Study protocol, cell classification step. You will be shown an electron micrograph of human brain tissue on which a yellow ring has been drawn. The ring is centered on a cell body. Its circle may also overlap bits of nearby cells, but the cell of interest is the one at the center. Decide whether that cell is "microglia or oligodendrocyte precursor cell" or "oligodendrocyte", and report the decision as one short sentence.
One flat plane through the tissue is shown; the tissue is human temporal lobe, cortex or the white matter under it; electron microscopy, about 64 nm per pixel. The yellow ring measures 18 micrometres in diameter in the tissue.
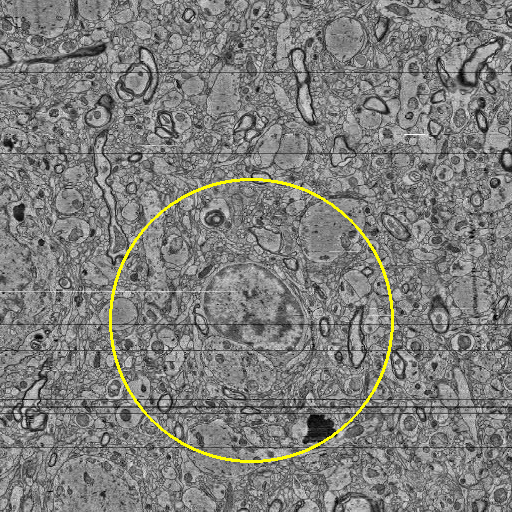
The marked cell is an oligodendrocyte.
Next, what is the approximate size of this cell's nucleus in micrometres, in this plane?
The ringed cell's nucleus is about 7 micrometres long and 5 micrometres wide in this plane.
